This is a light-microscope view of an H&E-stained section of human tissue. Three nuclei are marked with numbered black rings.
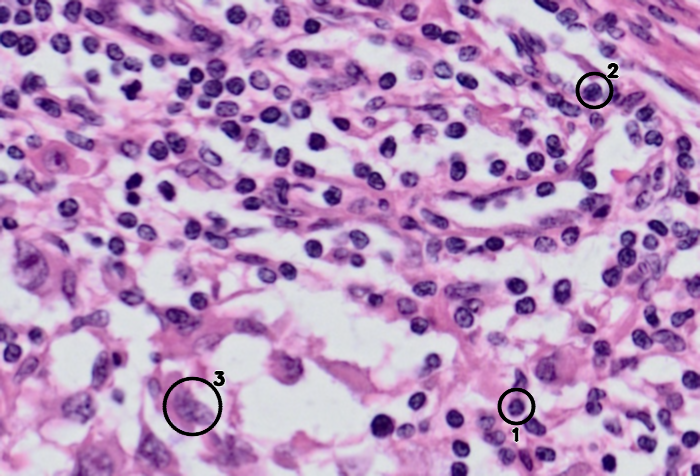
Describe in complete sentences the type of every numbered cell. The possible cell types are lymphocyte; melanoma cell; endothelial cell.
Cell 1 is a lymphocyte, cell 2 is a lymphocyte and cell 3 is a melanoma cell.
